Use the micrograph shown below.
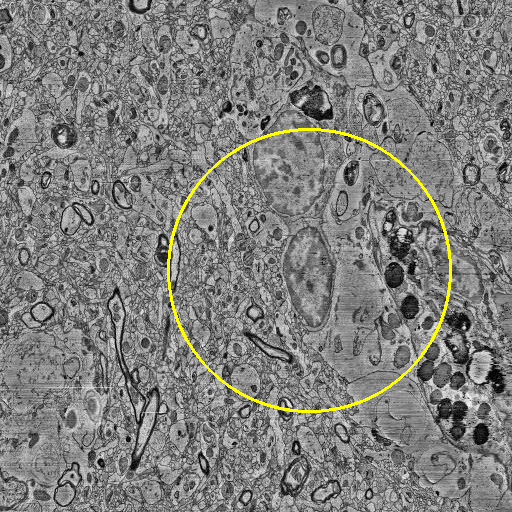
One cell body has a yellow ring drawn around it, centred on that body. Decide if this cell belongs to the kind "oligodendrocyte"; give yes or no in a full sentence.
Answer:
Yes, the cell lying at the ring's centre in the micrograph is of the kind given.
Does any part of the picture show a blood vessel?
Yes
